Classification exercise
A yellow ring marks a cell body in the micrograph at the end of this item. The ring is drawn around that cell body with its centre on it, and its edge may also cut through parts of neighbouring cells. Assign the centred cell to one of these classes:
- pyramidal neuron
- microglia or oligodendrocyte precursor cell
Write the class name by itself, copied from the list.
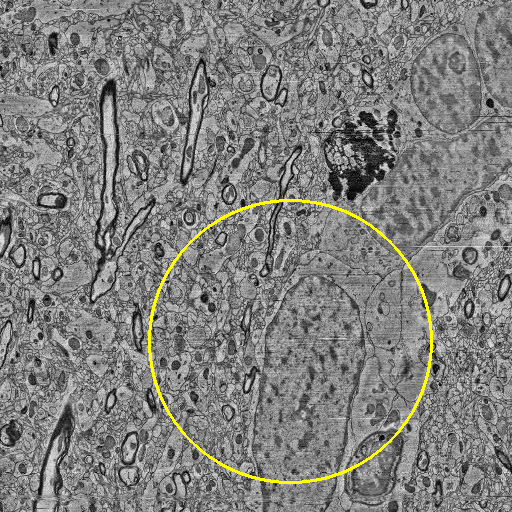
microglia or oligodendrocyte precursor cell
